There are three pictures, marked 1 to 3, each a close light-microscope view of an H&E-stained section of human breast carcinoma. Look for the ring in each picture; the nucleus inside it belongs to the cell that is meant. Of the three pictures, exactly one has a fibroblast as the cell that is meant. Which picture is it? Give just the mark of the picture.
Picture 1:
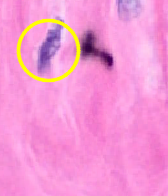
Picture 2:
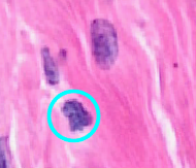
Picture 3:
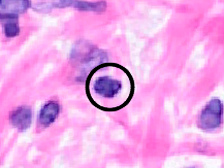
1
